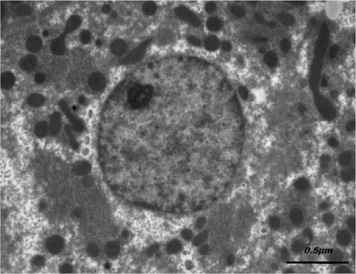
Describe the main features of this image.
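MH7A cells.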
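This electron micrograph shows a cultured cell with a large round nucleus in the centre, bounded by a clear nuclear envelope and containing finely granular chromatin with a small dense body. The surrounding cytoplasm holds many small, darkly electron-dense organelles, most of them round and some elongated, scattered all around the nucleus. Between these organelles the cytoplasm looks granular and in places pale.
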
